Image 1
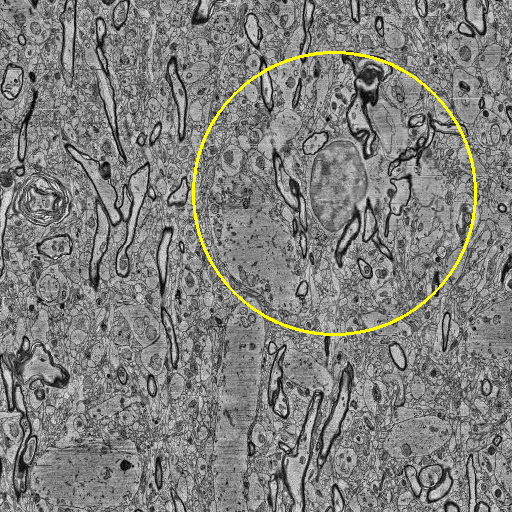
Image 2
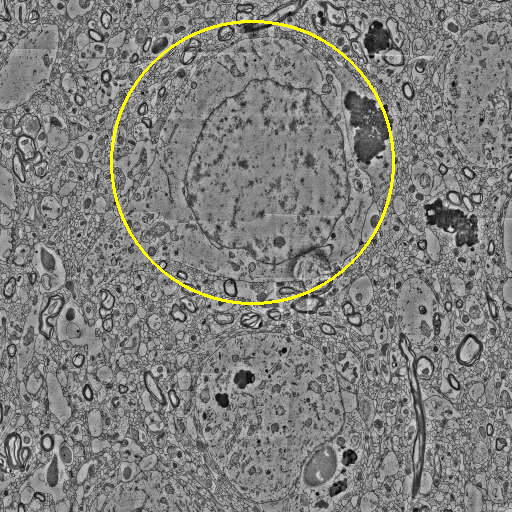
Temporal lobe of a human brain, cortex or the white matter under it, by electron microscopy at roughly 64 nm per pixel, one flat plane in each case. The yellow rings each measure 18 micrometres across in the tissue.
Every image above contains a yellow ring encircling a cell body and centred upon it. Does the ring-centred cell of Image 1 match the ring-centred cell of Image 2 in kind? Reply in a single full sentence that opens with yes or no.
No, the cell at the ring's centre in Image 1 is a separate kind from that in Image 2.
